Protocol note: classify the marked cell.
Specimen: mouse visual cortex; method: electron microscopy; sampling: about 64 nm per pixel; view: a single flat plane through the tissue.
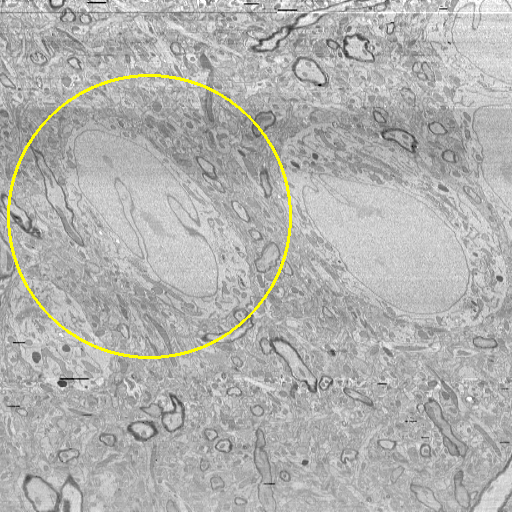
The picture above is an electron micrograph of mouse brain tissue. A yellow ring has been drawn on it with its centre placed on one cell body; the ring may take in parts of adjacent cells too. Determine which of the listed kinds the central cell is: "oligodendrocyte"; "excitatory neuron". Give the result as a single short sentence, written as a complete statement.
The central cell is an excitatory neuron.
